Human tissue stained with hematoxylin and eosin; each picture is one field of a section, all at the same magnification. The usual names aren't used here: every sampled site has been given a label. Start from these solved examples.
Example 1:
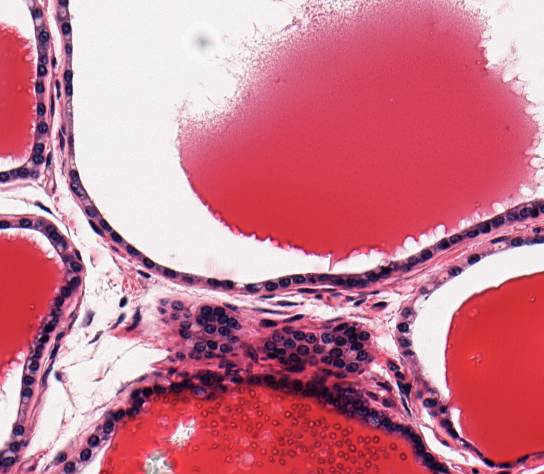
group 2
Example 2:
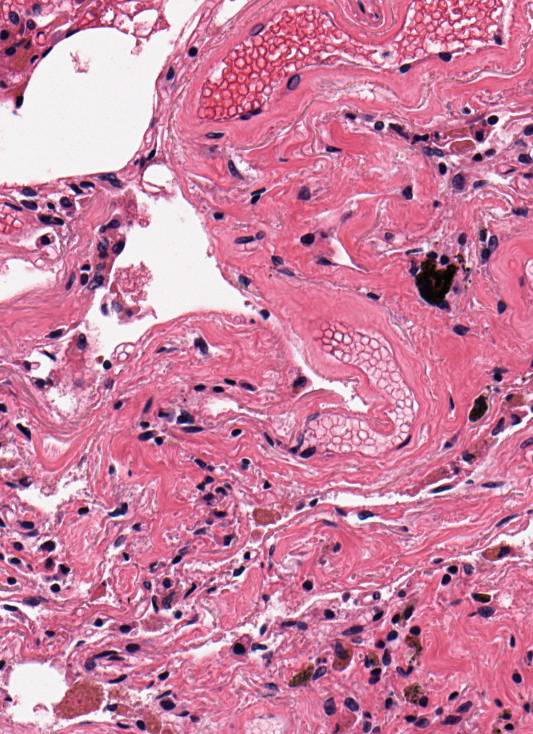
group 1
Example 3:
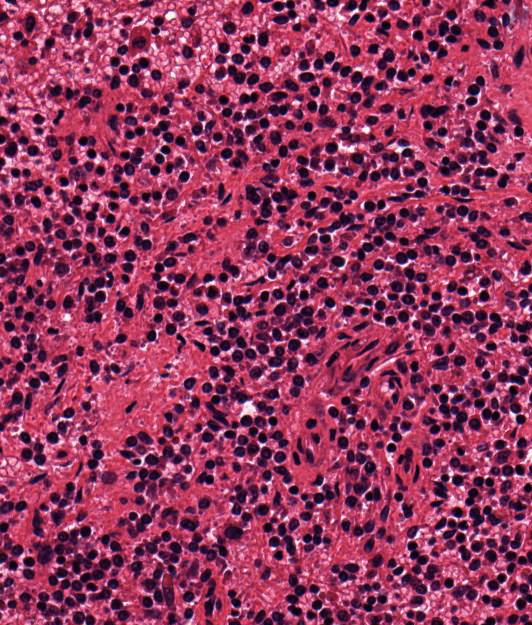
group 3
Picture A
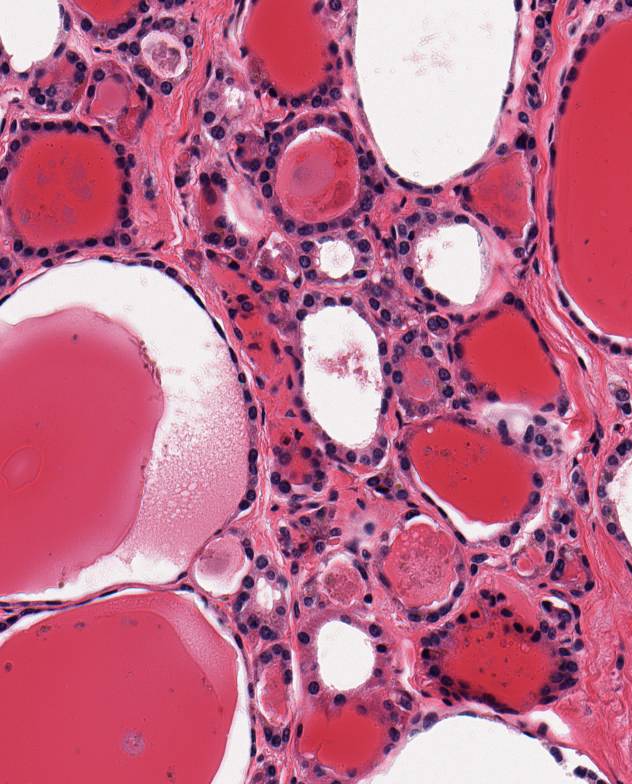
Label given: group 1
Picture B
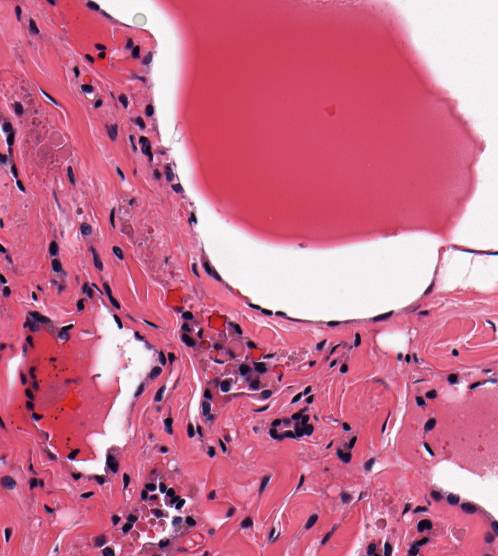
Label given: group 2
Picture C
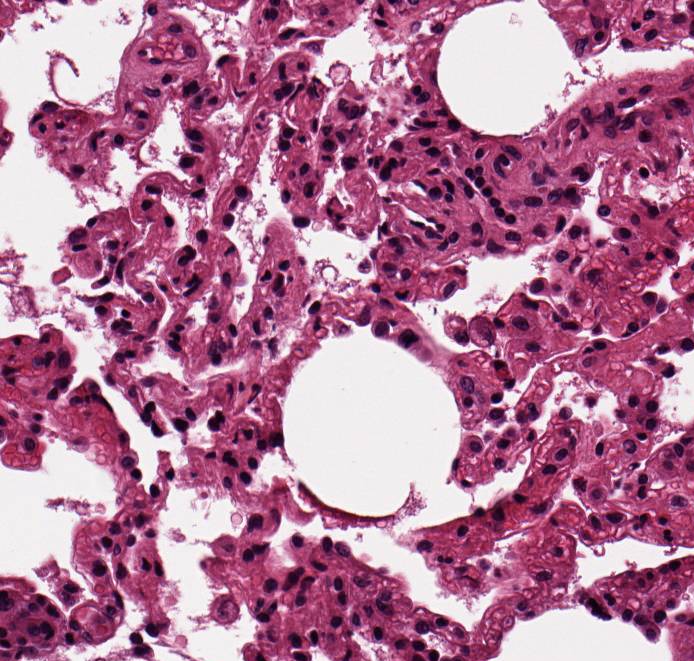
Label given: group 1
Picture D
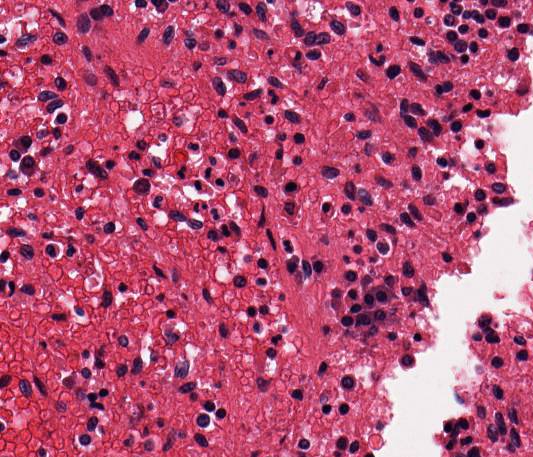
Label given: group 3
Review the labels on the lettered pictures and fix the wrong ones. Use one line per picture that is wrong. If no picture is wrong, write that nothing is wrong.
A: group 2, not group 1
